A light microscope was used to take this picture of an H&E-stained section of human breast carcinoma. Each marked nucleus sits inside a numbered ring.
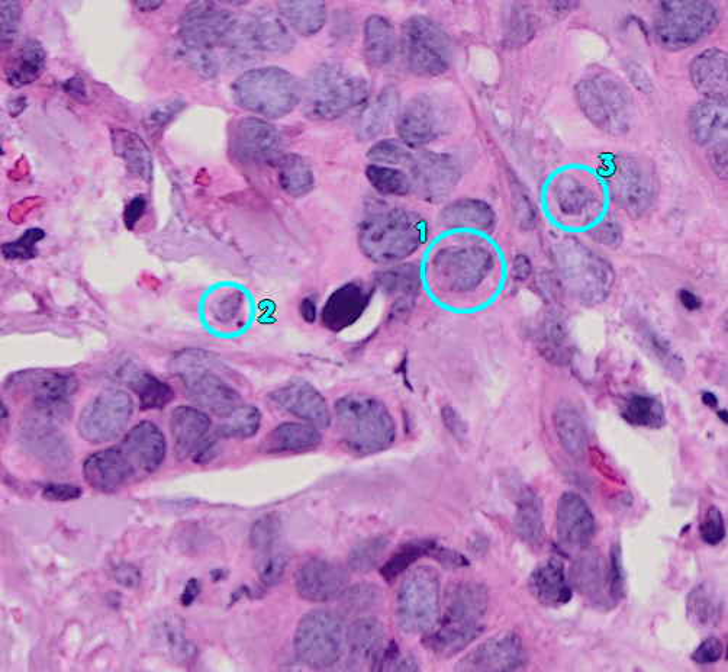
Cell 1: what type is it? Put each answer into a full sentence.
Belonging to a carcinoma cell is the nucleus that carries the number 1.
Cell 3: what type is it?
The label 3 in this section denotes a carcinoma cell.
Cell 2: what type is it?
Marked with the number 2, this cell is a macrophage, monocyte or dendritic cell.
